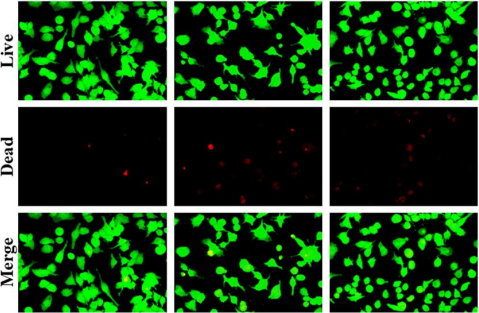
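These are cultured cells filling each field with bright green cytoplasm, some rounded and others spread out with short pointed processes. The cells lie singly or in loose groups with dark spaces between them. Only a few small red dots are scattered in the rows below, with a rare yellow spot where the two colours overlap.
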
